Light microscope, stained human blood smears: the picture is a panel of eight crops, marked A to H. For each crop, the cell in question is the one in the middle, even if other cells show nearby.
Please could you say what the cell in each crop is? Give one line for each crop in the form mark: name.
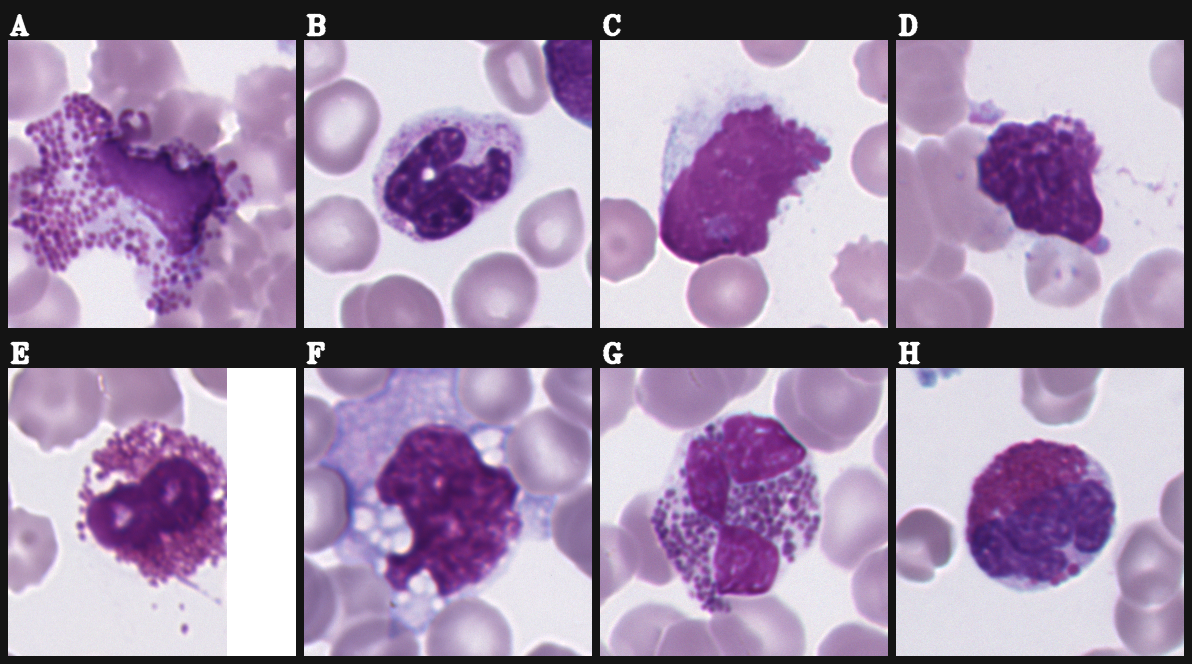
A: eosinophil
B: segmented neutrophil
C: smudge cell
D: smudge cell
E: eosinophil
F: monocyte
G: eosinophil
H: eosinophil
